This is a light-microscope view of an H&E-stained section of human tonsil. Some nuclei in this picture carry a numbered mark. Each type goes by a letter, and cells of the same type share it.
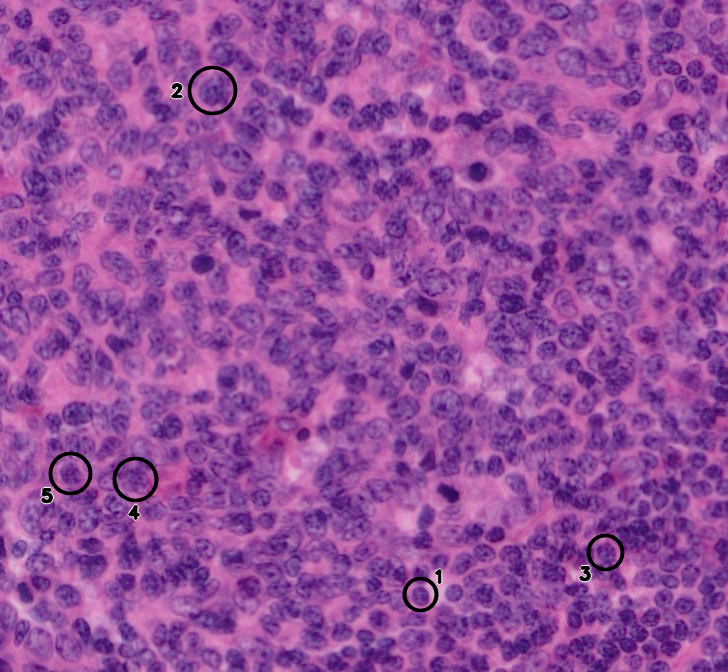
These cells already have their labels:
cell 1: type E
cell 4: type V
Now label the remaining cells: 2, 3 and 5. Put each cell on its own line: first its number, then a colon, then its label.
2: type V
3: type E
5: type V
